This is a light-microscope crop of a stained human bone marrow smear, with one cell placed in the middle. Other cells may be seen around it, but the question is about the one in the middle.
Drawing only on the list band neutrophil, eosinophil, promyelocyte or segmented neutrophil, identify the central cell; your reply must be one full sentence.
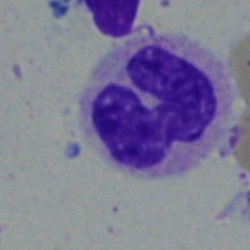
In the middle of this smear crop is a segmented neutrophil.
